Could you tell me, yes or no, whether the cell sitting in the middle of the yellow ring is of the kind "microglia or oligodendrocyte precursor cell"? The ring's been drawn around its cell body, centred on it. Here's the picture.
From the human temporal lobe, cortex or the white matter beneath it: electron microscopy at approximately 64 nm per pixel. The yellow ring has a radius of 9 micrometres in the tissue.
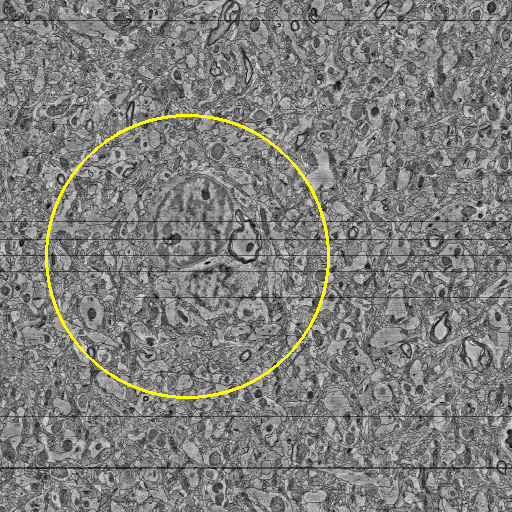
No, it is of another kind.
